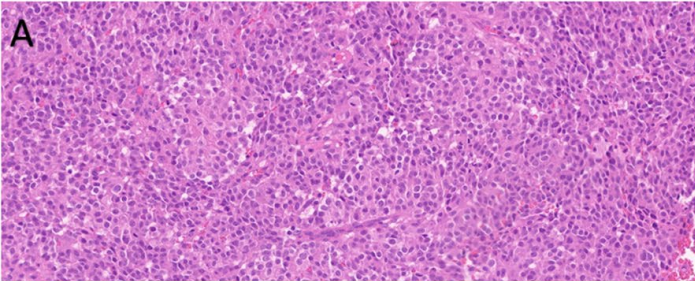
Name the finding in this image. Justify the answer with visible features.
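Tumor cells form a continuous sheet filling the whole field. No nests, glands or lobules separated by stroma are evident. Only thin, sparse vessels interrupt the cell sheet.
Hence: diffuse growth pattern.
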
